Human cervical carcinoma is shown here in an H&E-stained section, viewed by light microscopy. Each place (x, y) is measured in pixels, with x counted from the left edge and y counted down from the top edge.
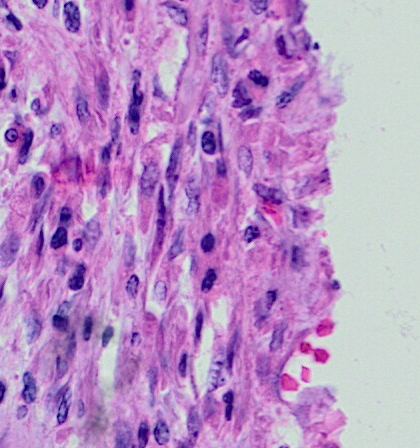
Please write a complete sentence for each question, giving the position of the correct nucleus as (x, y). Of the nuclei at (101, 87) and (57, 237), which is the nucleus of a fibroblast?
The pair contains one nucleus of a fibroblast, namely the one at (101, 87).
